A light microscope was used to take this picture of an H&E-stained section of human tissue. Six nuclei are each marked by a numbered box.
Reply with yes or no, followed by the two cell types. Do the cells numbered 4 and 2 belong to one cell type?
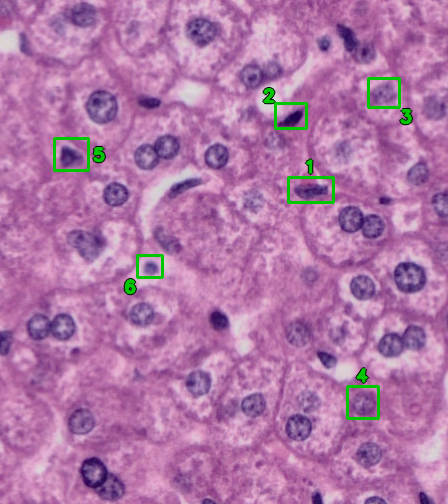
No, cell 4 is a hepatocyte and cell 2 is a fibroblast or stellate cell.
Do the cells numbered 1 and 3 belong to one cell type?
No, cell 1 is an endothelial cell and cell 3 is a hepatocyte.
